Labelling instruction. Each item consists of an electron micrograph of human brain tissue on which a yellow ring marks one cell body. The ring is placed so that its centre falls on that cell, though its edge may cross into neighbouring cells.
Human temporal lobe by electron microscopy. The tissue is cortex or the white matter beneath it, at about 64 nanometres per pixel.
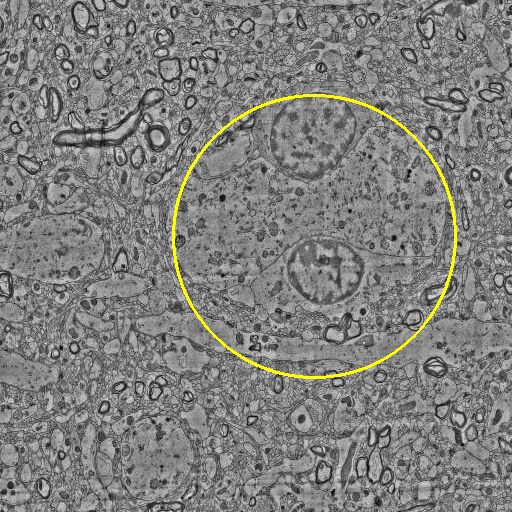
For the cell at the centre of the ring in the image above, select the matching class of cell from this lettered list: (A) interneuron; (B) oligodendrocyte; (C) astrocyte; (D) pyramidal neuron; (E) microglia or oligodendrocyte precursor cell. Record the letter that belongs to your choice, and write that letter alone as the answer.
E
